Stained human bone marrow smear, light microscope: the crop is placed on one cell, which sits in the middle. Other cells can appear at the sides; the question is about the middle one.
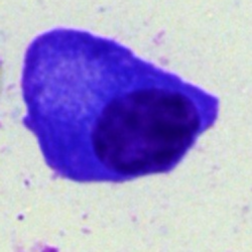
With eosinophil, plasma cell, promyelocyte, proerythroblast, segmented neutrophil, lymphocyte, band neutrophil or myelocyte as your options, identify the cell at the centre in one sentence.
What sits at the centre of this crop is a plasma cell.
